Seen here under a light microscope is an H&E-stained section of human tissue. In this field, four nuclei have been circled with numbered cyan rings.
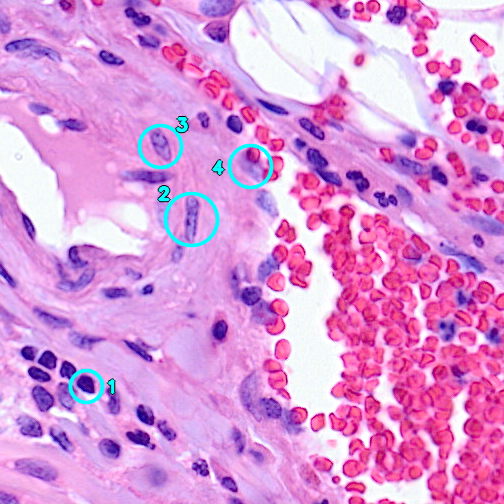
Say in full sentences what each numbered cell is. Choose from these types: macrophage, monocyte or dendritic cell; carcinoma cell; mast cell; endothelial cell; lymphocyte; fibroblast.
Cell 1 is a lymphocyte, cell 2 is an endothelial cell, cell 3 is an endothelial cell and cell 4 is an endothelial cell.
